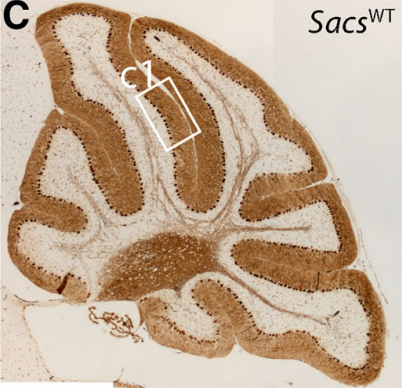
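This is a sagittal section through the cerebellar vermis, with its folia branching from a central core. A single row of dark brown Purkinje cell bodies runs along every folium, beneath a broad brown outer layer made by their dendrites. Beneath the row lies a pale inner layer, and brown fibres run from it through the central white matter toward a densely stained region deep in the core.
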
